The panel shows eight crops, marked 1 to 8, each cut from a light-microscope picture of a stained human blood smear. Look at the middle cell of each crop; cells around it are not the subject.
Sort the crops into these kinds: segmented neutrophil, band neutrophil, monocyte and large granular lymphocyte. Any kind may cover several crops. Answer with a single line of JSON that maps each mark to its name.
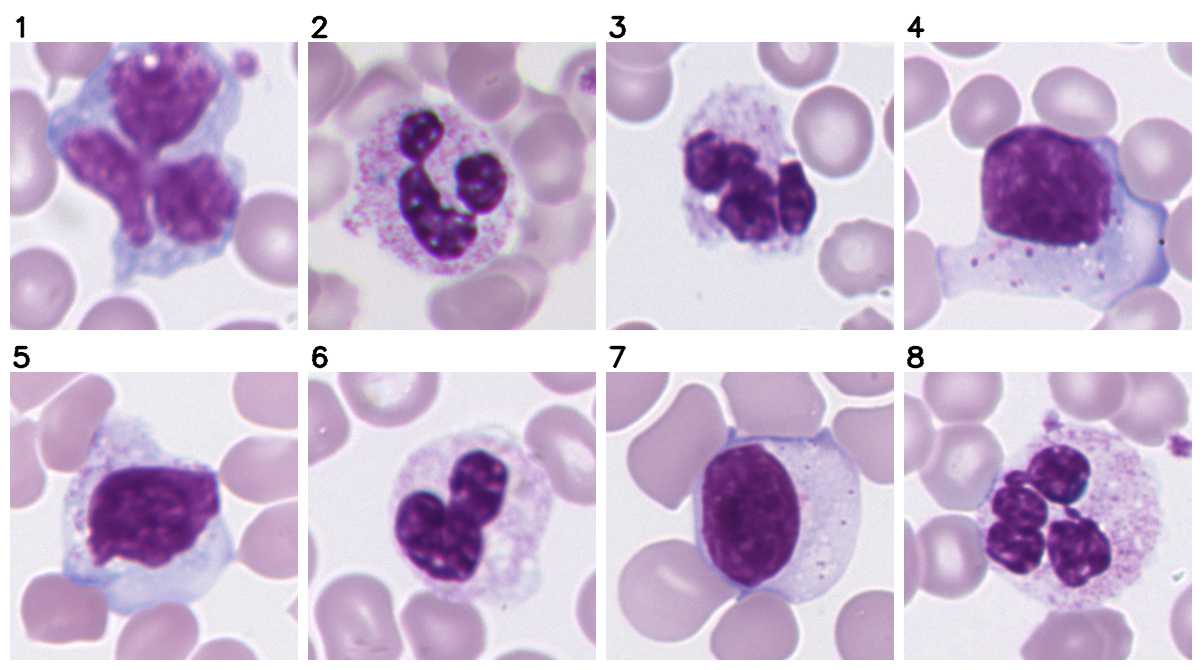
{"1": "monocyte", "2": "segmented neutrophil", "3": "segmented neutrophil", "4": "large granular lymphocyte", "5": "large granular lymphocyte", "6": "segmented neutrophil", "7": "large granular lymphocyte", "8": "segmented neutrophil"}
